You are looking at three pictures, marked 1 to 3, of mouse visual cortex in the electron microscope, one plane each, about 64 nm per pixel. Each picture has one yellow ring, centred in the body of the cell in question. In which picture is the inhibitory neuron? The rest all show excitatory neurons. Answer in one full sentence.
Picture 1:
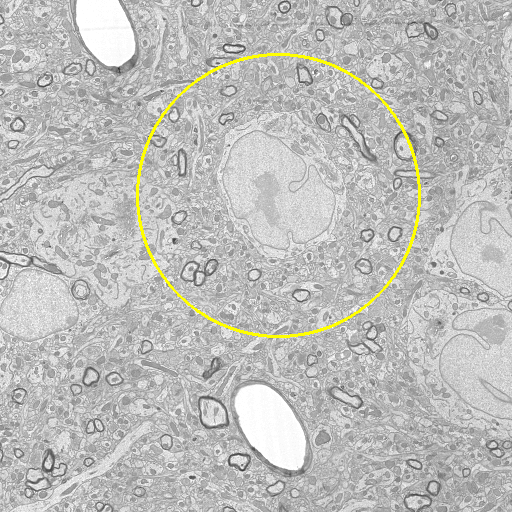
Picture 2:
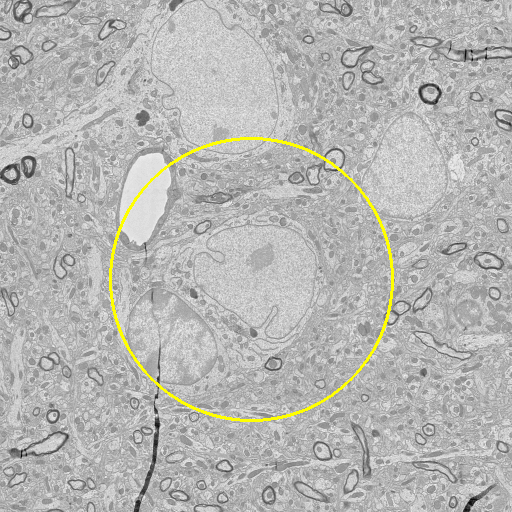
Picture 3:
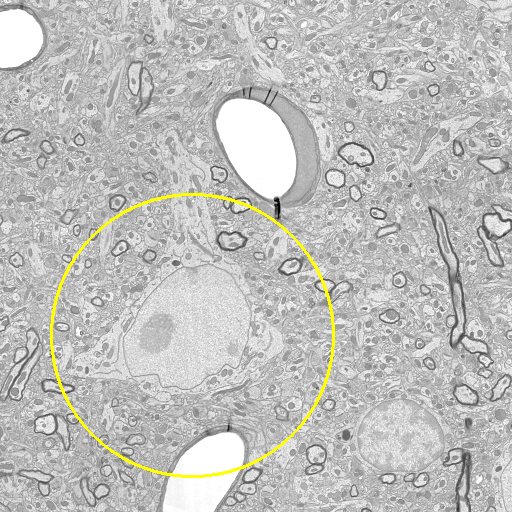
Picture 2 is the one that shows the inhibitory neuron.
